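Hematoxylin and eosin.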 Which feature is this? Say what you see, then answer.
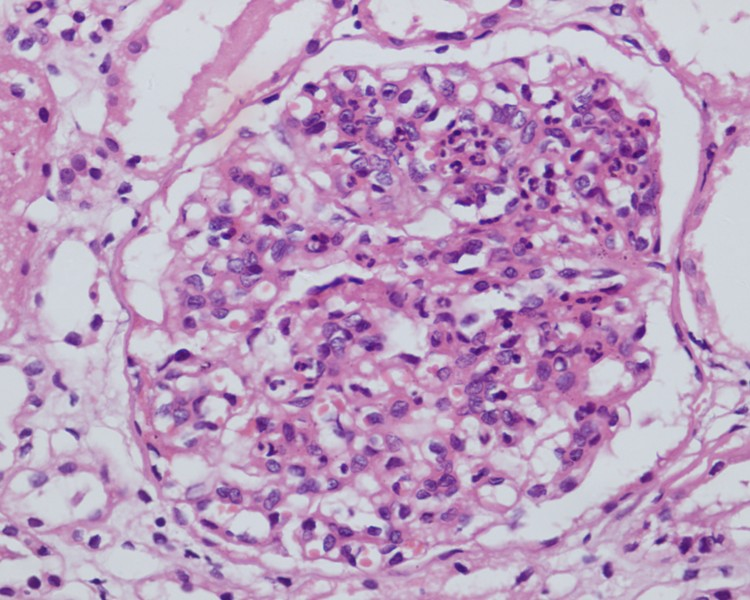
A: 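A large rounded tuft of cells fills the centre of the field. The tuft sits inside a thin capsule with a clear space around it. Cut tubules surround the tuft.
Conclusion: glomerulus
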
